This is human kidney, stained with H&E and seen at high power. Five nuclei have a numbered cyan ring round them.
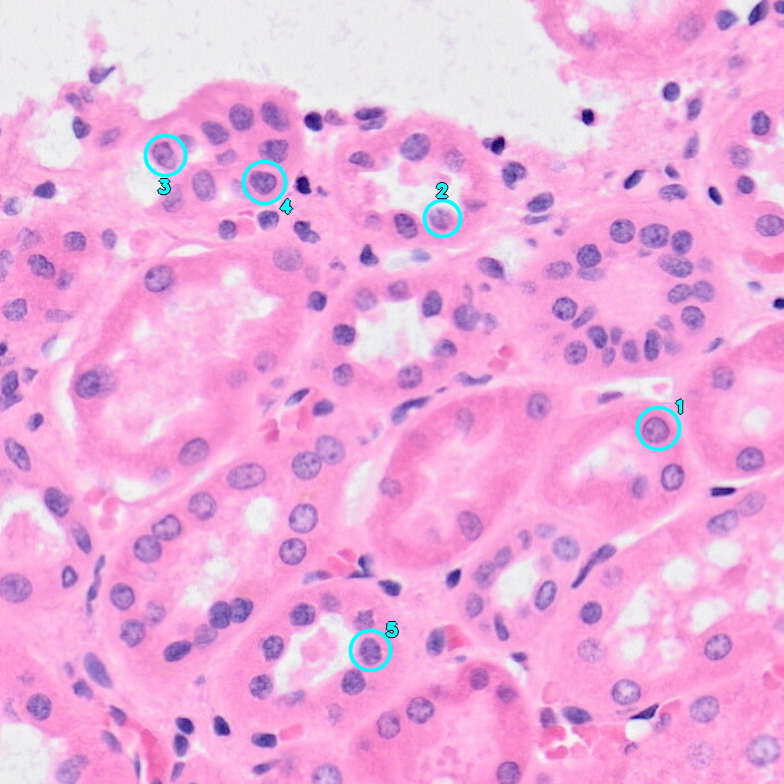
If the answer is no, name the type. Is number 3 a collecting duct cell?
Yes.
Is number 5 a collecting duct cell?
No, it is a loop of Henle or distal tubule cell.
